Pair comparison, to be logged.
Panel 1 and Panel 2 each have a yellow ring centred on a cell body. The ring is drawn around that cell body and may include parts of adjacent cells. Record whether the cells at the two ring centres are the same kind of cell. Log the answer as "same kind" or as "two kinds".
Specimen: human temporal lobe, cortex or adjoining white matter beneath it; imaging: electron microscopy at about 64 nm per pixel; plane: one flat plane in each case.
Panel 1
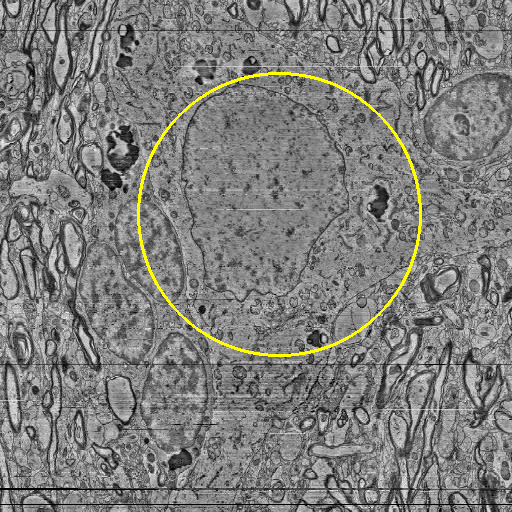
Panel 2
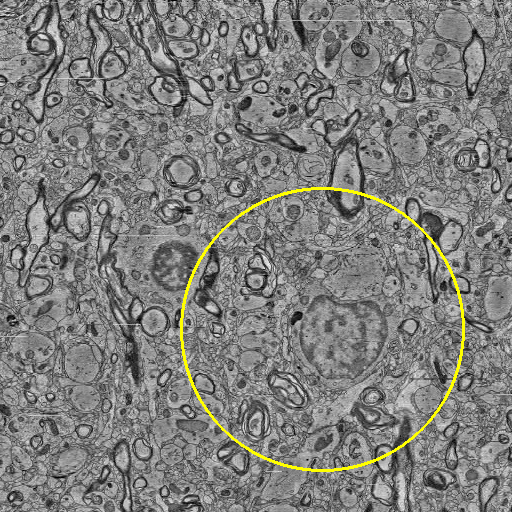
two kinds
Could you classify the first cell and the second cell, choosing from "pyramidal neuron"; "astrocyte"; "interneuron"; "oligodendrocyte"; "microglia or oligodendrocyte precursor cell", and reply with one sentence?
The second cell is an oligodendrocyte, while the first is a pyramidal neuron.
